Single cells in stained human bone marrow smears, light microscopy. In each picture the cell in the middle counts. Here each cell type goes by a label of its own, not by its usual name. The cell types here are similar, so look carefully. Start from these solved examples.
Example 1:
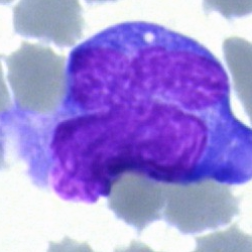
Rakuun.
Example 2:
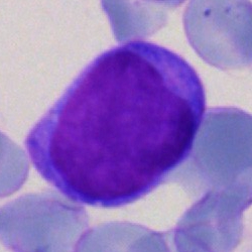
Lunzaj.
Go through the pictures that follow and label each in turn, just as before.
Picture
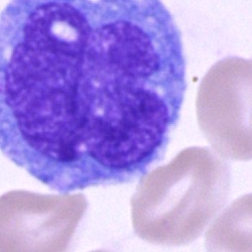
Rakuun.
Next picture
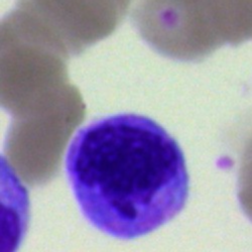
Rakuun.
